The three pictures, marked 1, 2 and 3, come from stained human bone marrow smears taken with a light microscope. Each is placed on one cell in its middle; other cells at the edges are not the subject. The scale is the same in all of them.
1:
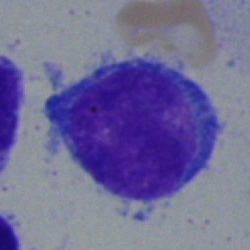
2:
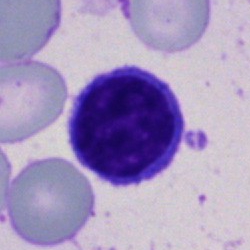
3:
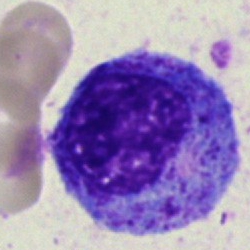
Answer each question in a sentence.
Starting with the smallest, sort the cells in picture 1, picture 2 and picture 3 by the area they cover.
Smallest first: 2, 1, 3.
